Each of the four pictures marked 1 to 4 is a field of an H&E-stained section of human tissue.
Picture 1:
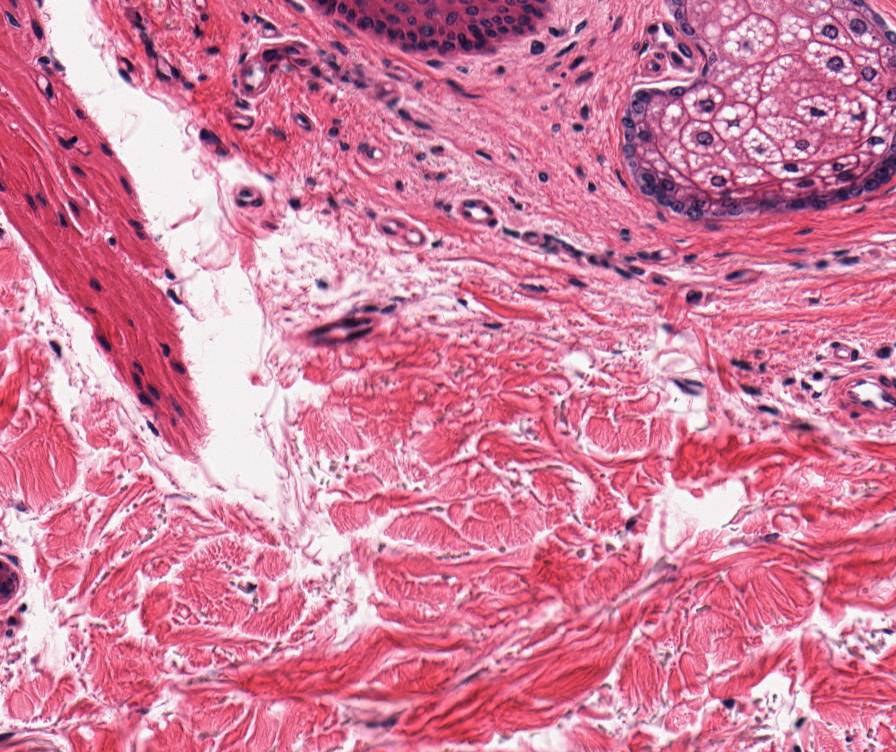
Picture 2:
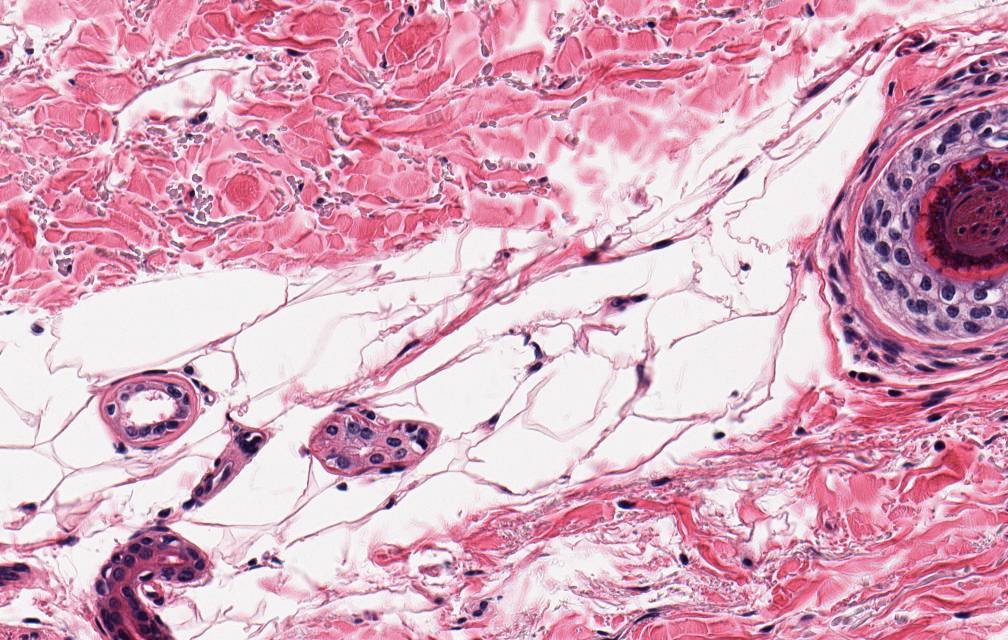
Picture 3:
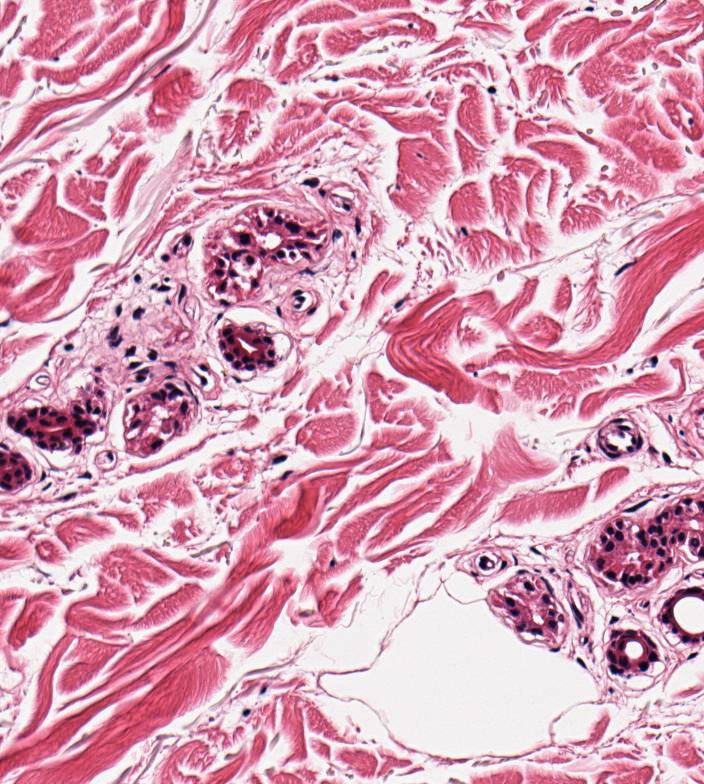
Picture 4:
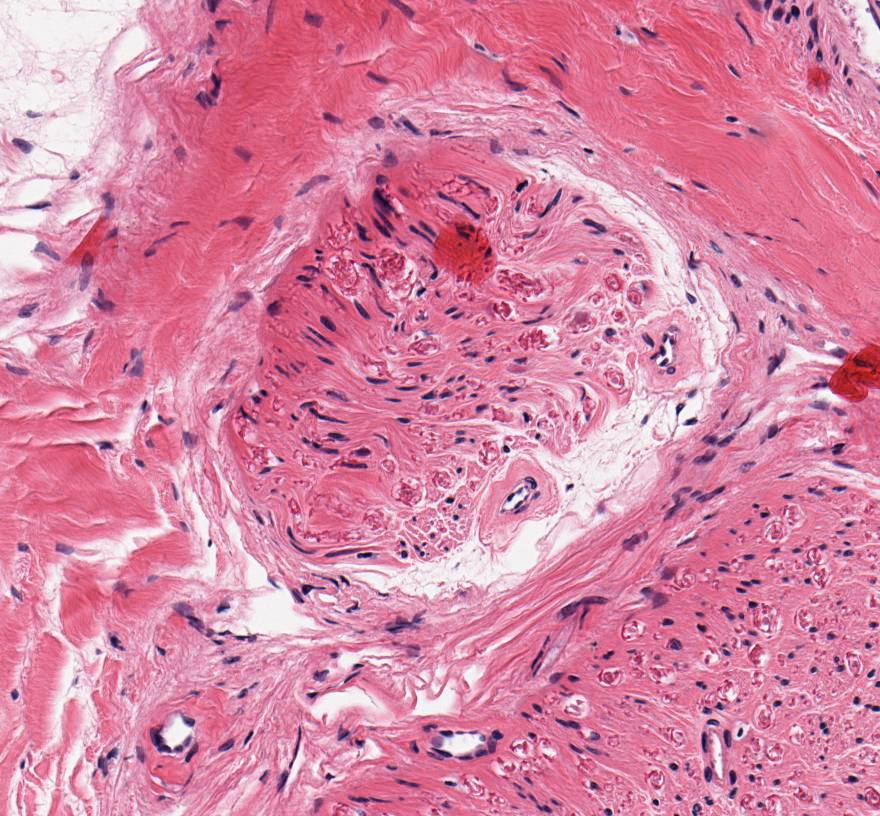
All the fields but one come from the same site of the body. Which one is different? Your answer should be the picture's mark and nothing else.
4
